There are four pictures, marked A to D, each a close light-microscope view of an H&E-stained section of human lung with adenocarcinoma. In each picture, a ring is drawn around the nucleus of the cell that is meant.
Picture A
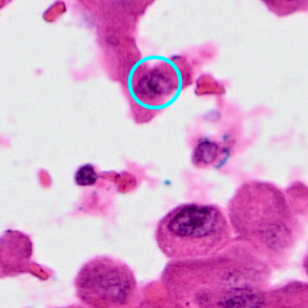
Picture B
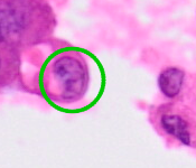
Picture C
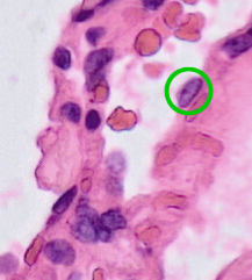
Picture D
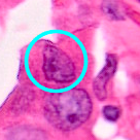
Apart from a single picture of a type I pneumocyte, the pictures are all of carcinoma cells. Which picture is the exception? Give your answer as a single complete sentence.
It is picture C that shows the type I pneumocyte.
